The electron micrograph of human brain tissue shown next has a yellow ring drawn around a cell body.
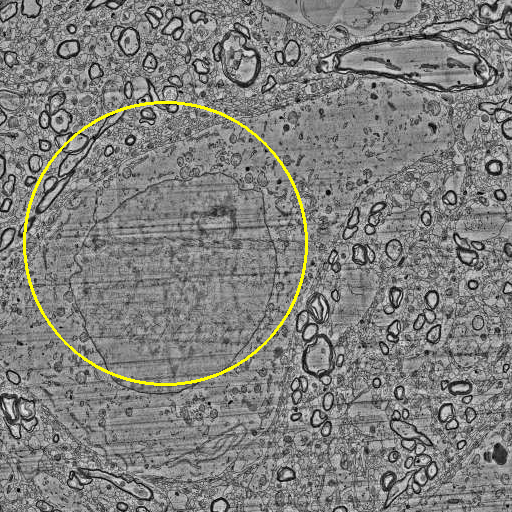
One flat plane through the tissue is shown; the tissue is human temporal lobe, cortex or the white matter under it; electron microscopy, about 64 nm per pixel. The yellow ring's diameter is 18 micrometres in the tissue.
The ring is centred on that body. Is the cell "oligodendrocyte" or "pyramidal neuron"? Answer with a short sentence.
The cell in question is a pyramidal neuron.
